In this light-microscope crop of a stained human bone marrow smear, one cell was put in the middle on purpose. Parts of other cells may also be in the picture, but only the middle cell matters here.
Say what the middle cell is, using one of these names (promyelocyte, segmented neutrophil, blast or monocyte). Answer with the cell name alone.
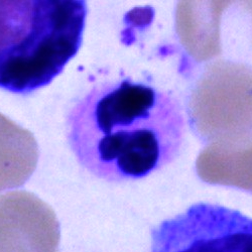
segmented neutrophil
